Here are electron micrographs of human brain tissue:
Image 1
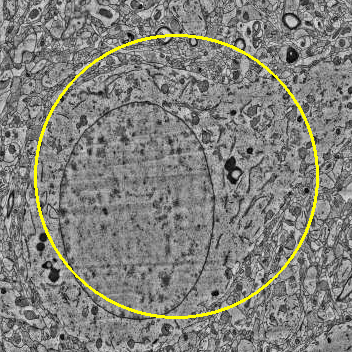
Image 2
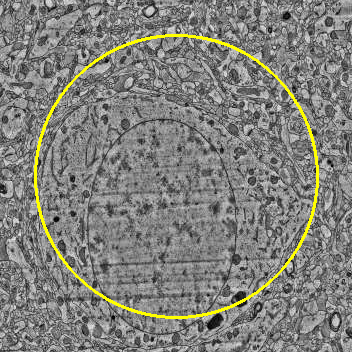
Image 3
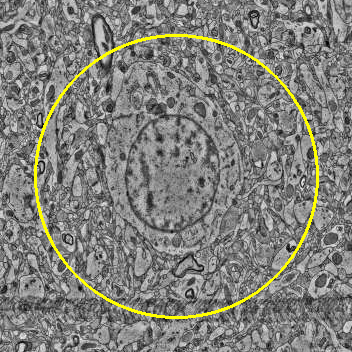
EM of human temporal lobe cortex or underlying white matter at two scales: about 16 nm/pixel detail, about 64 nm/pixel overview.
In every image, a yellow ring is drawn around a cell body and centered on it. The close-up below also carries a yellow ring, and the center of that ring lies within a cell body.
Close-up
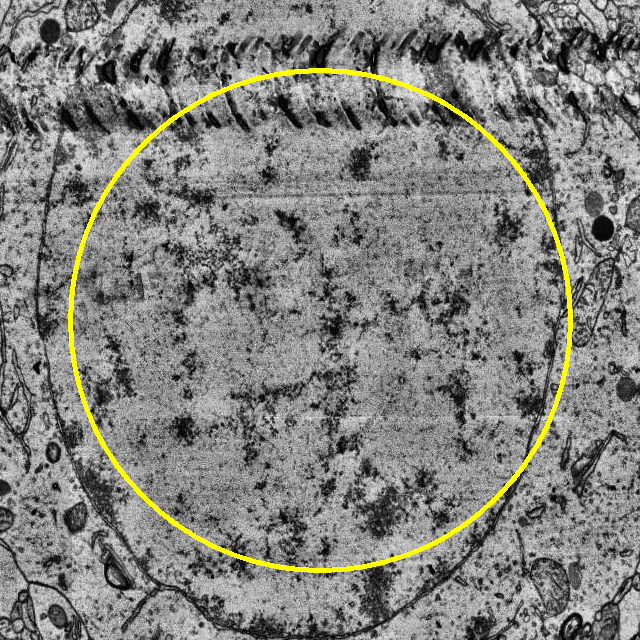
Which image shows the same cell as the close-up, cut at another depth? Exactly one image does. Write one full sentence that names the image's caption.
Enlarged in the close-up is the cell circled in Image 3.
